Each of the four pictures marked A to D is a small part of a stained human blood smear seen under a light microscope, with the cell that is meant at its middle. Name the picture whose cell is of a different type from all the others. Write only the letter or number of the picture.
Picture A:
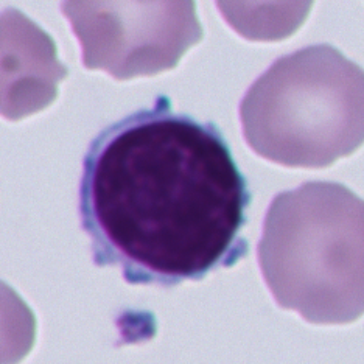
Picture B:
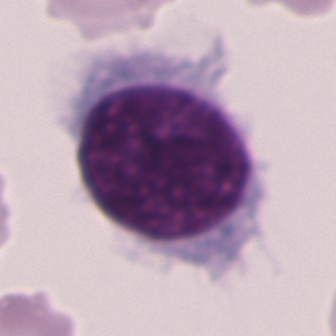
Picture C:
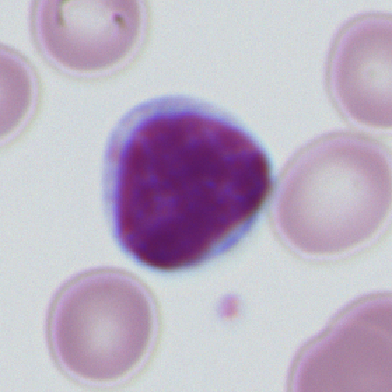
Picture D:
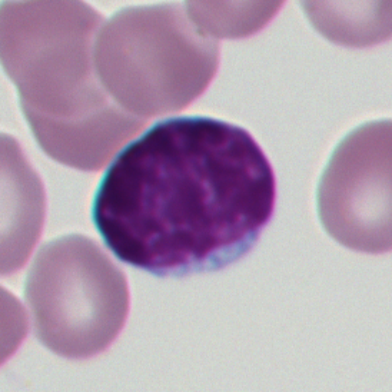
B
